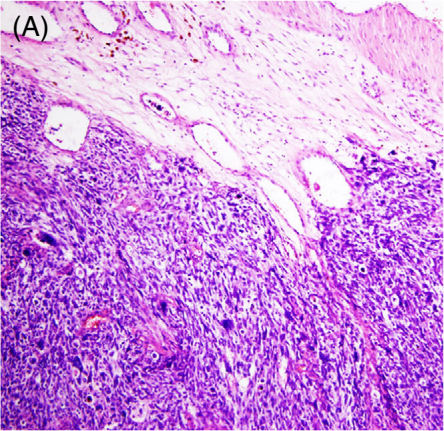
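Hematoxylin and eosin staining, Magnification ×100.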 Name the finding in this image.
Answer: Densely cellular malignant tumor.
